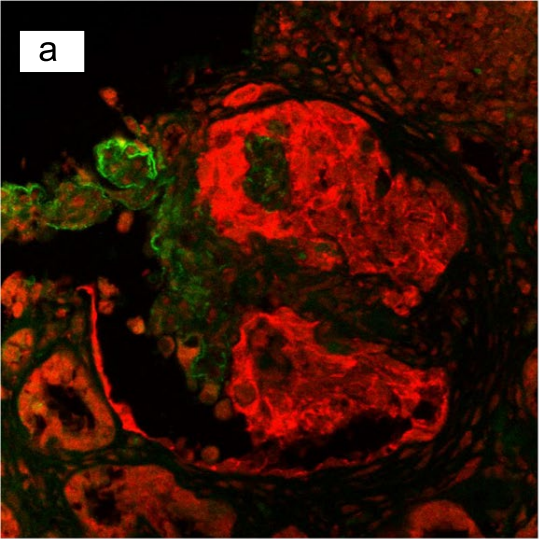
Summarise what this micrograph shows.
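A glomerulus with extra-capillary proliferation: the space inside the round capsule is largely filled by a bulky mass of cells that stain bright red, forming irregular sheets and lobes. A thin red layer also lines the inner surface of the capsule at its lower margin, and a dark cleft separates parts of the red mass from the capsule. Around the glomerulus, layers of dark fibrous tissue encircle it, and orange-stained tubules with open lumens are cut in cross-section.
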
